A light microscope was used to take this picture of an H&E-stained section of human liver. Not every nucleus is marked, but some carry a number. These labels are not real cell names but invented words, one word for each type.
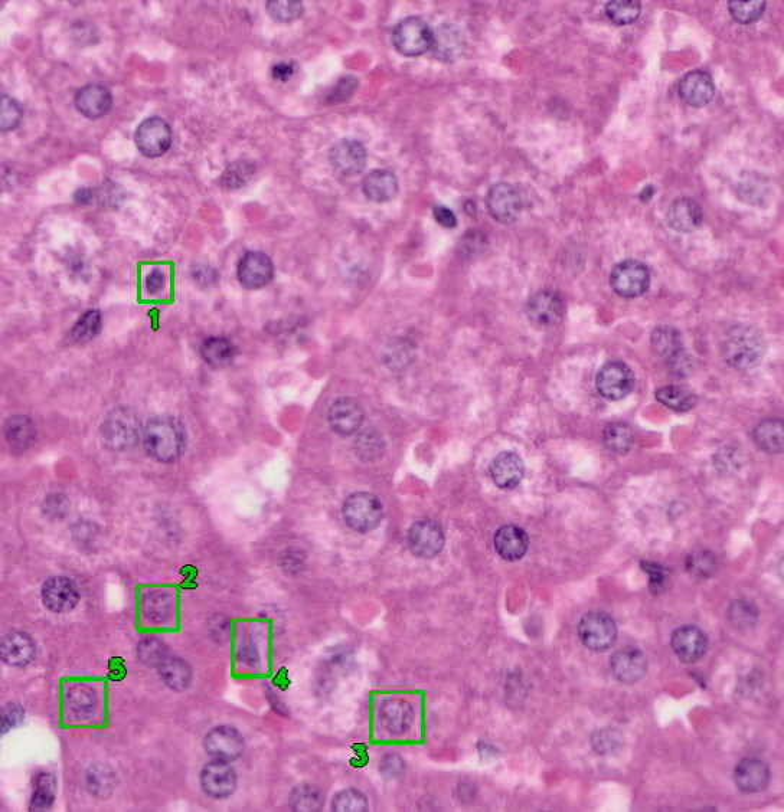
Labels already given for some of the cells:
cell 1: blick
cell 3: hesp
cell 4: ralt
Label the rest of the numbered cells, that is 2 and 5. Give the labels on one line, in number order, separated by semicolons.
hesp; hesp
